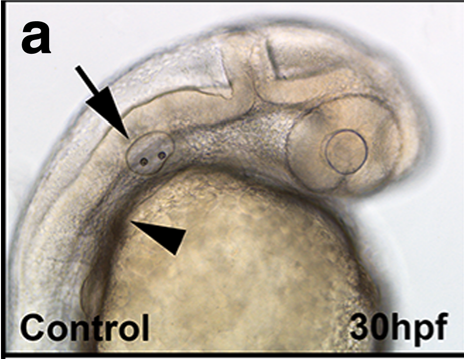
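The eye with its round lens sits at the front of the head. Folds of the developing brain are outlined along the top of the head. Behind the eye, above the yolk, an oval otic vesicle holds two small dark dots. The yolk below appears granular and yellowish-brown.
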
